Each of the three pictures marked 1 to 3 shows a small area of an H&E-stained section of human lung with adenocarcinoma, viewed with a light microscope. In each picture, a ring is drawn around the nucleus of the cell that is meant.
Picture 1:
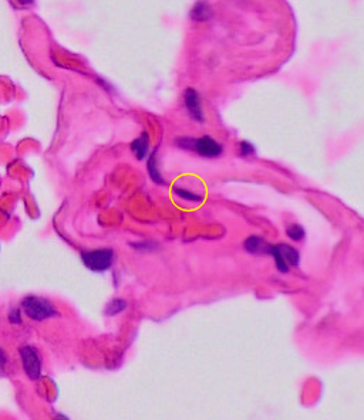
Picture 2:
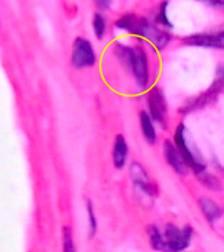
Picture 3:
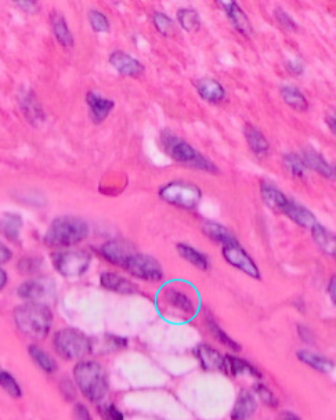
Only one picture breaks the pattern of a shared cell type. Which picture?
1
